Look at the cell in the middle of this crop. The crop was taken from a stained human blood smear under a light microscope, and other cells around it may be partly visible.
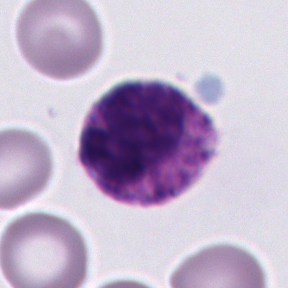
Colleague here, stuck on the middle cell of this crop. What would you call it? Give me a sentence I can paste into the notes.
The cell of interest, in the center, is a basophil.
